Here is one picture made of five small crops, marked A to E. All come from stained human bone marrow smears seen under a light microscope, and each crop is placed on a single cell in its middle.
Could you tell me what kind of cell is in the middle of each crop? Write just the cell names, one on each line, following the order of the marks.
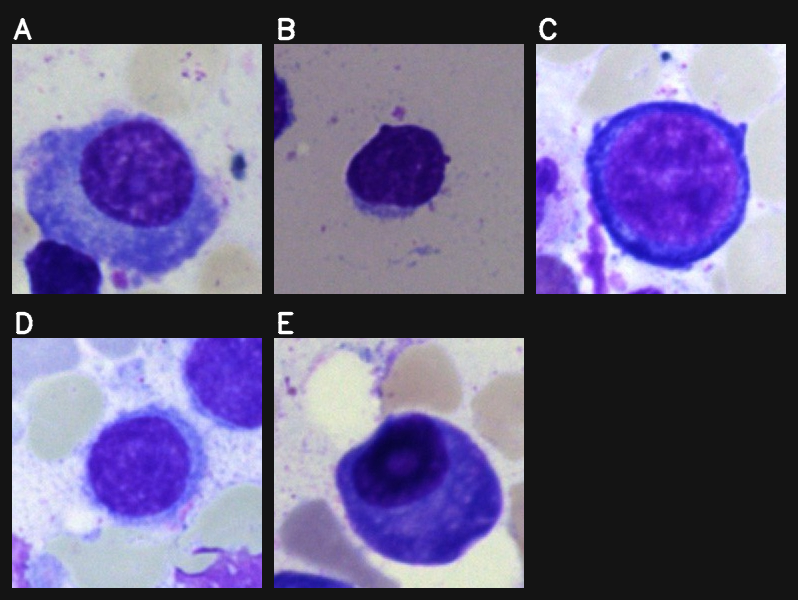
plasma cell
lymphocyte
proerythroblast
hairy cell
plasma cell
